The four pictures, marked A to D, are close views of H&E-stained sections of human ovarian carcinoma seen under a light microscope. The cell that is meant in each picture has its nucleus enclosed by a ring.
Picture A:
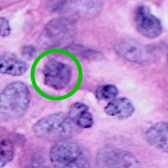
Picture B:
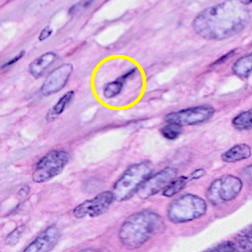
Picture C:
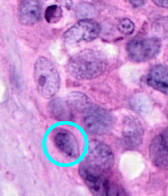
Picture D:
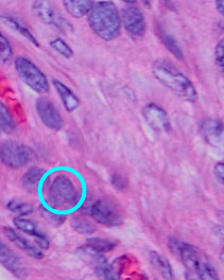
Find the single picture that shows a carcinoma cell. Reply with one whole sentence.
It is picture D that shows the carcinoma cell.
